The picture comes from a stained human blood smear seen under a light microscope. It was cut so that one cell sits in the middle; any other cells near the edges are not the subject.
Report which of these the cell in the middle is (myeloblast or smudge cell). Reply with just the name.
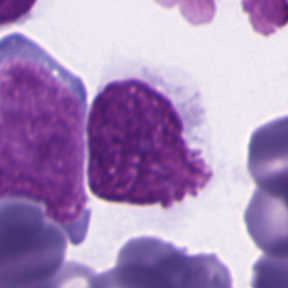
smudge cell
